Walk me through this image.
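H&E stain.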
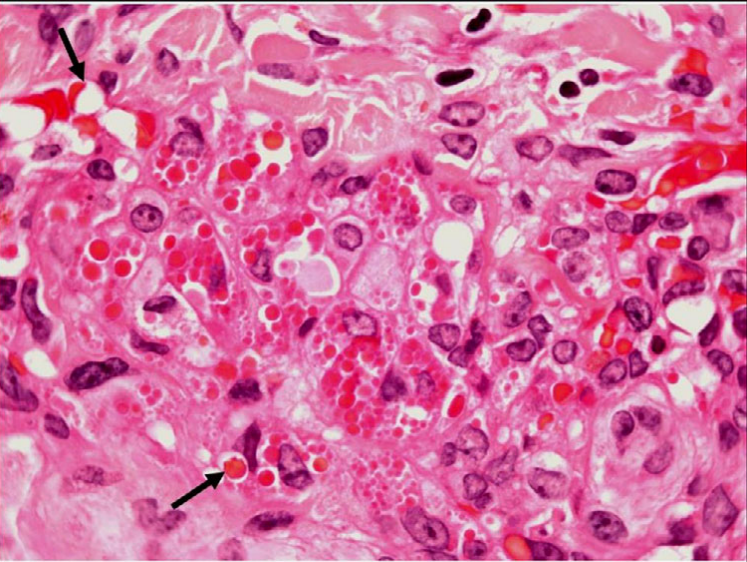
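This high-power field shows a cellular lesion of plump spindled to oval cells whose cytoplasm, and the spaces between them, hold many round, glassy, bright red eosinophilic hyaline globules of varying size, often packed in clusters. The nuclei are oval to elongated, with finely granular chromatin and small nucleoli, and the cells lie in a pink fibrous stroma with scattered red blood cells.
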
